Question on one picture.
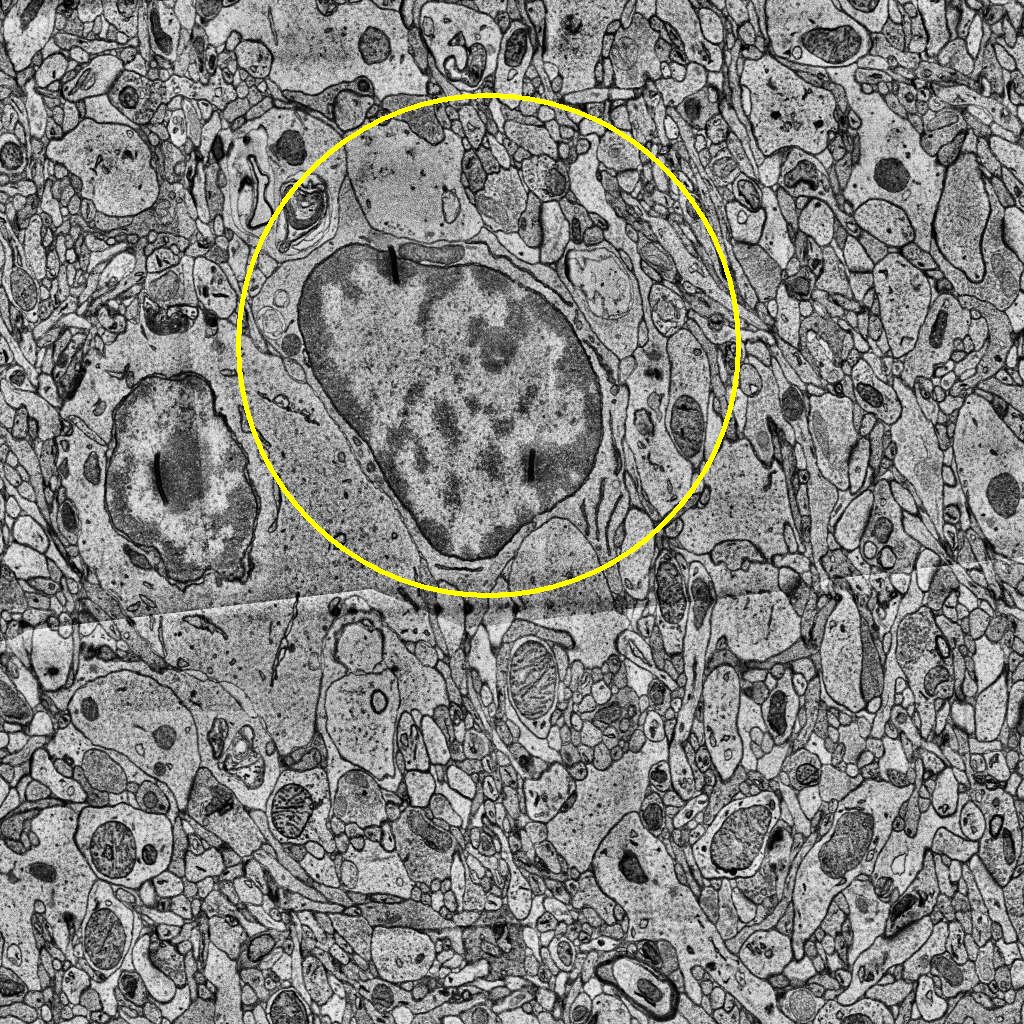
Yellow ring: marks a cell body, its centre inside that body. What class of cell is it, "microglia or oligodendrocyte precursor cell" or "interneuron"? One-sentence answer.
This is a microglial cell or oligodendrocyte precursor cell, the cell at the ring's centre.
